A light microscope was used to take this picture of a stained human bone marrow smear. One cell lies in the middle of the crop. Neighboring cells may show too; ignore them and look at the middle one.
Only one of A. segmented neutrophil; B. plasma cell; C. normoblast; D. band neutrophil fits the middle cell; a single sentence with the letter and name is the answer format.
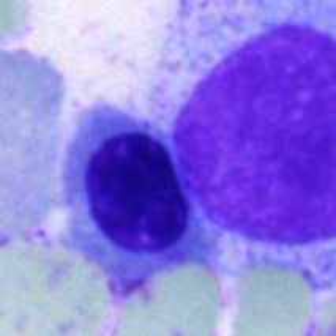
The middle of the crop contains a normoblast, so option C is right.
